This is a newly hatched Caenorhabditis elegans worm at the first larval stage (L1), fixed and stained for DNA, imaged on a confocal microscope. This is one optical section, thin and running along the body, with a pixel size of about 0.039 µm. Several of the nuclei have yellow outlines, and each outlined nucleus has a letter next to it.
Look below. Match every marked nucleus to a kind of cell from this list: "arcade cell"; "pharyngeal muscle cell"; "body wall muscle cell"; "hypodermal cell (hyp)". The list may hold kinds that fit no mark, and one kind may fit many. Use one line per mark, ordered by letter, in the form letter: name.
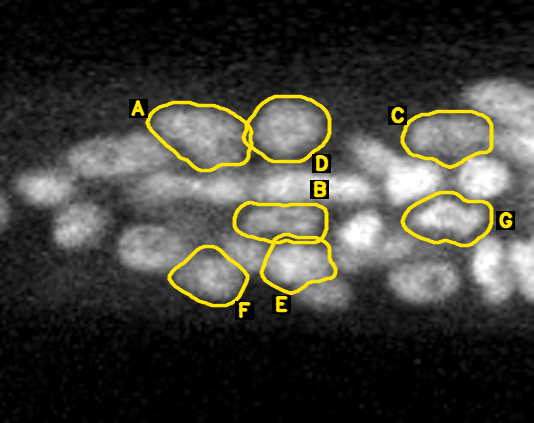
A: body wall muscle cell
B: pharyngeal muscle cell
C: pharyngeal muscle cell
D: body wall muscle cell
E: hypodermal cell (hyp)
F: body wall muscle cell
G: pharyngeal muscle cell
